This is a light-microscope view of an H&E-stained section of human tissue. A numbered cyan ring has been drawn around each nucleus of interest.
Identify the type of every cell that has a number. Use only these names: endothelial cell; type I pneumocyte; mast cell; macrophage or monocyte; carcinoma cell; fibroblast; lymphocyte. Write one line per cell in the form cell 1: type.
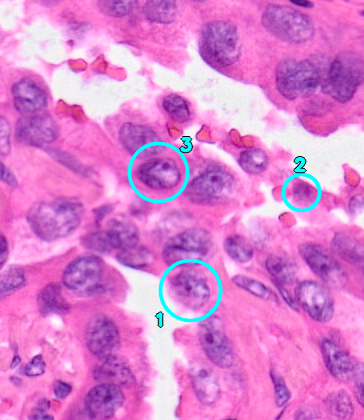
cell 1: carcinoma cell
cell 2: macrophage or monocyte
cell 3: carcinoma cell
